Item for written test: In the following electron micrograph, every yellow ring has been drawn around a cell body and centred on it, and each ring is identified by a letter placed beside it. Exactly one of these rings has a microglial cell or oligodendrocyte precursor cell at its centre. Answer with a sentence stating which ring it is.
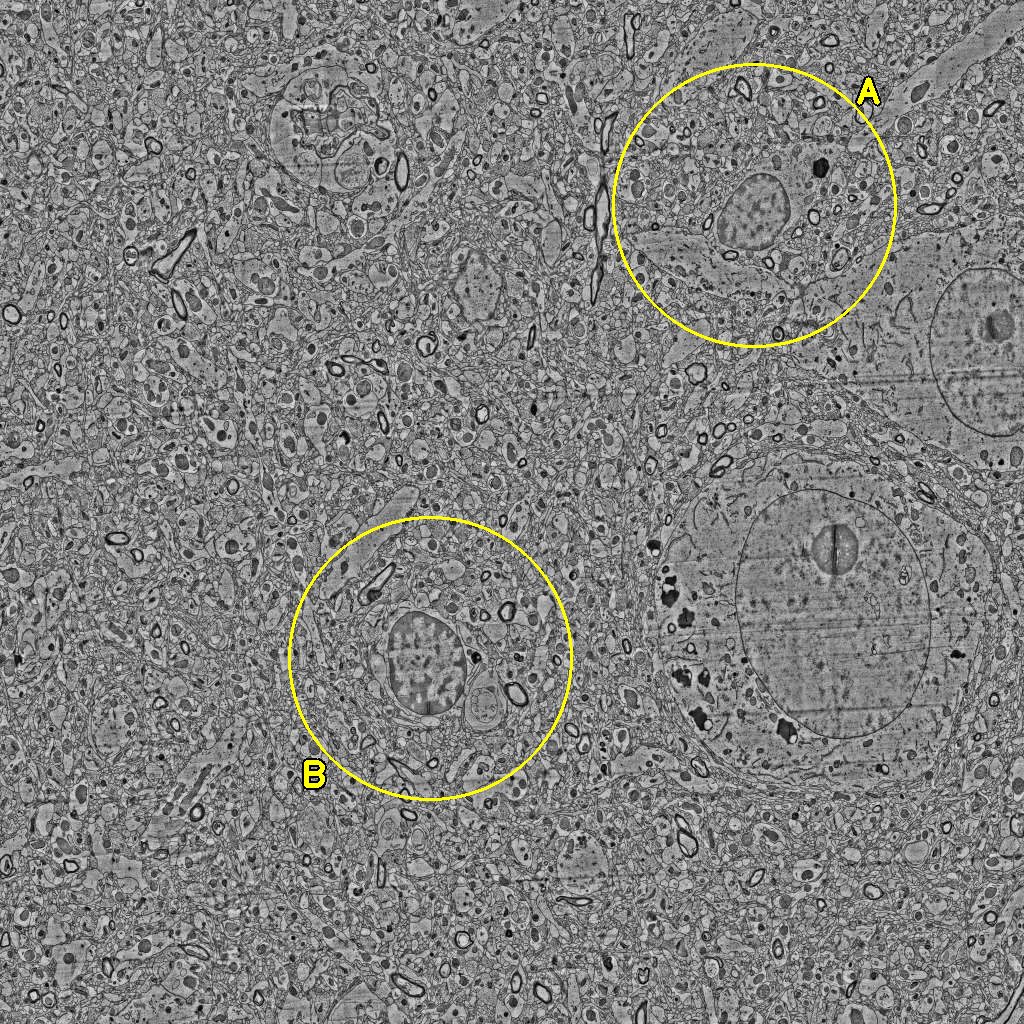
It is ring B.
